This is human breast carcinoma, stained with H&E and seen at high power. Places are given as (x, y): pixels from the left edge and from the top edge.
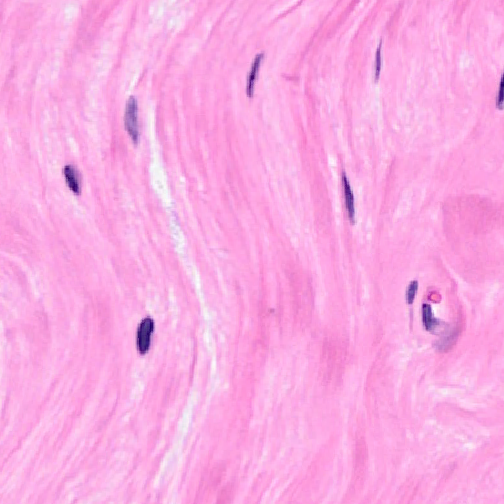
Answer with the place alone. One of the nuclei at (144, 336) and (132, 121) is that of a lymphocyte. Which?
(144, 336)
